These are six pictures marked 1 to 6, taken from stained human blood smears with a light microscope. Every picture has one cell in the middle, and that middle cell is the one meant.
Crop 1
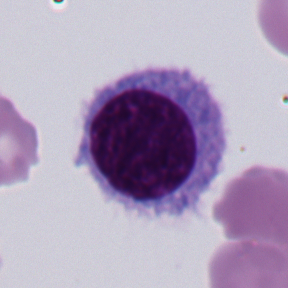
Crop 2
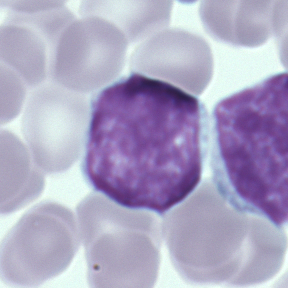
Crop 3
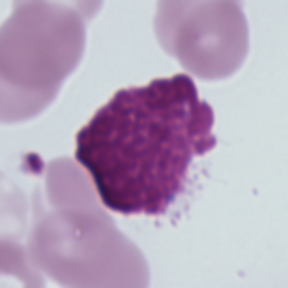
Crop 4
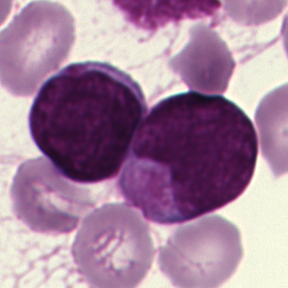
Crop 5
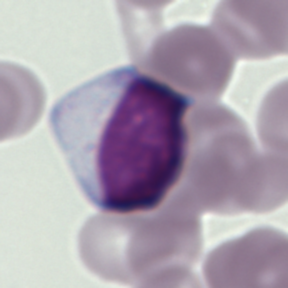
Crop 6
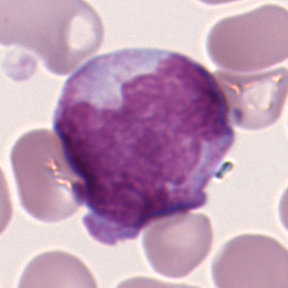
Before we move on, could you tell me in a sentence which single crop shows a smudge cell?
So the crop with a smudge cell at its center is crop 3.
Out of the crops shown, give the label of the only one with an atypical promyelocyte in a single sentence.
The one crop in the set with an atypical promyelocyte is crop 6.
